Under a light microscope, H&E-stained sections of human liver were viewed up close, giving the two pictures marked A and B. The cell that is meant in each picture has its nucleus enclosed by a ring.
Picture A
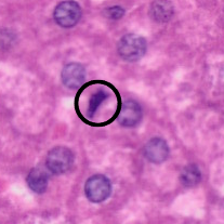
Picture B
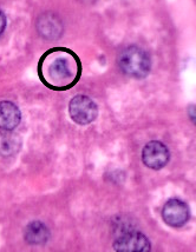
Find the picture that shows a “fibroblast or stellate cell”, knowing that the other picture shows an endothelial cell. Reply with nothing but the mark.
A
